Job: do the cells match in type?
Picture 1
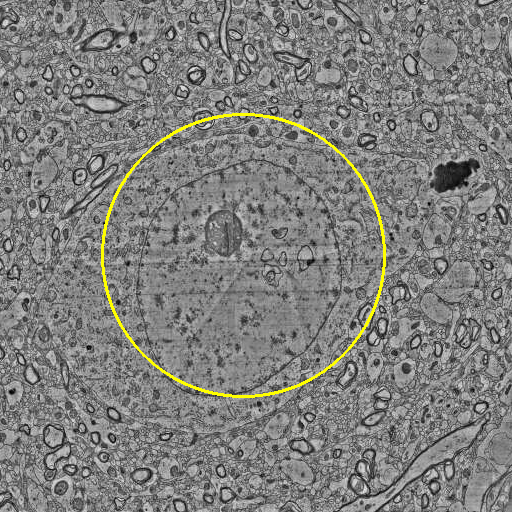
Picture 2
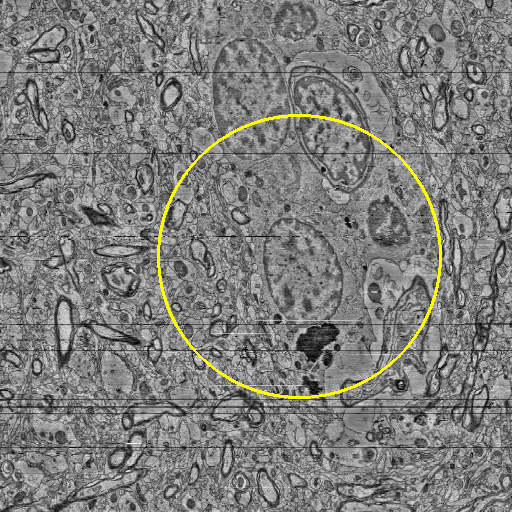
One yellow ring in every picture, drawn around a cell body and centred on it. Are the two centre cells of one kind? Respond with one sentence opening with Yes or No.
No, the ringed cells in the two pictures are of two separate kinds.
